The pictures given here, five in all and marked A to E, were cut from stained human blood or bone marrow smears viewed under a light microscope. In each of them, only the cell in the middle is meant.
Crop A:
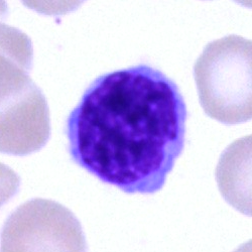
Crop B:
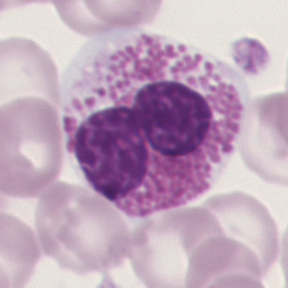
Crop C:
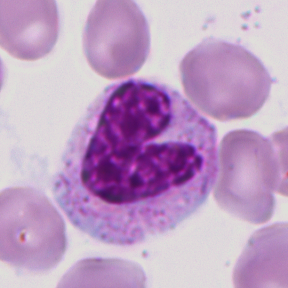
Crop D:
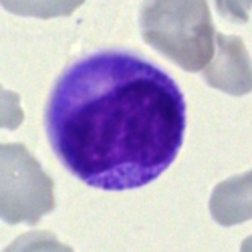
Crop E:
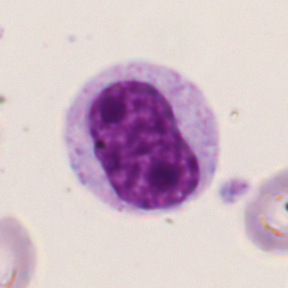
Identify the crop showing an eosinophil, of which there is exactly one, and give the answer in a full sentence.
The cell at the center of crop B is the one that is an eosinophil.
